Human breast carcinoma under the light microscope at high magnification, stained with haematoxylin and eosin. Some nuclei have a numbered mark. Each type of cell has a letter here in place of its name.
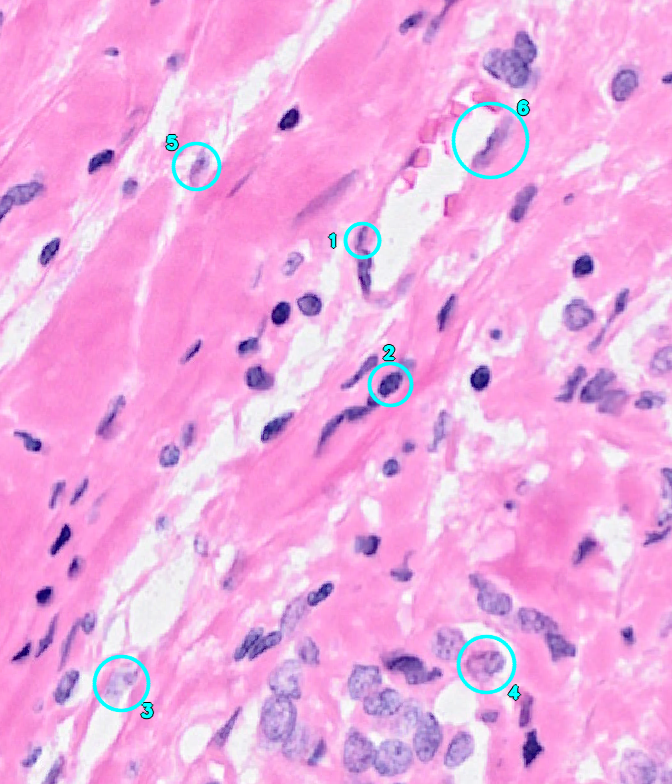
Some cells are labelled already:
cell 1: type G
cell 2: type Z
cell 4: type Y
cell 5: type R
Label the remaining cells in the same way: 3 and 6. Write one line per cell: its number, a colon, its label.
3: type R
6: type G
